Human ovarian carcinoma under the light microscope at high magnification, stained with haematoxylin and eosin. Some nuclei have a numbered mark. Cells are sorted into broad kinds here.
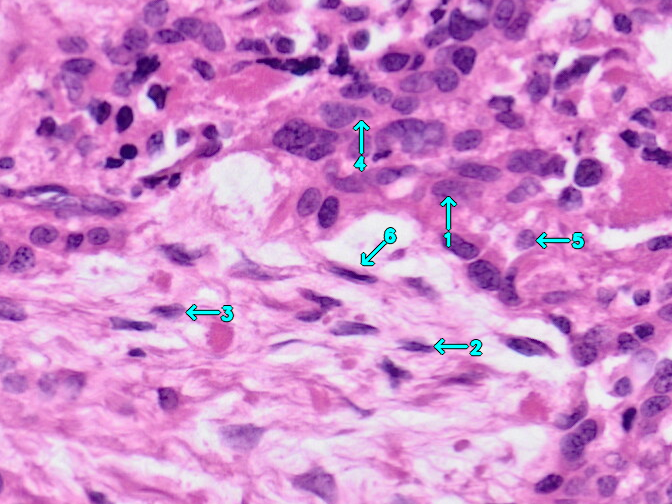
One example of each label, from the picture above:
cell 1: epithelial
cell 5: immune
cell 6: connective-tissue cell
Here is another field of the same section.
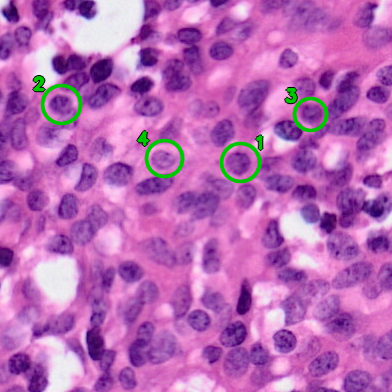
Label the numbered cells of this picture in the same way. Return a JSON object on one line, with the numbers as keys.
{"1": "epithelial", "2": "immune", "3": "epithelial", "4": "immune"}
